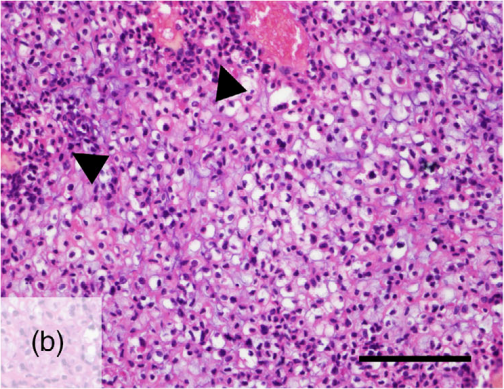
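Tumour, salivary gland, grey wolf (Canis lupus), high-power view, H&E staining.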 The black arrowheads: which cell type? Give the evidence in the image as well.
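The marked cells have smaller, pink cytoplasm than the surrounding pale cells. They lie among cells with clear cytoplasm. That points to this answer: intermediate cells.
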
